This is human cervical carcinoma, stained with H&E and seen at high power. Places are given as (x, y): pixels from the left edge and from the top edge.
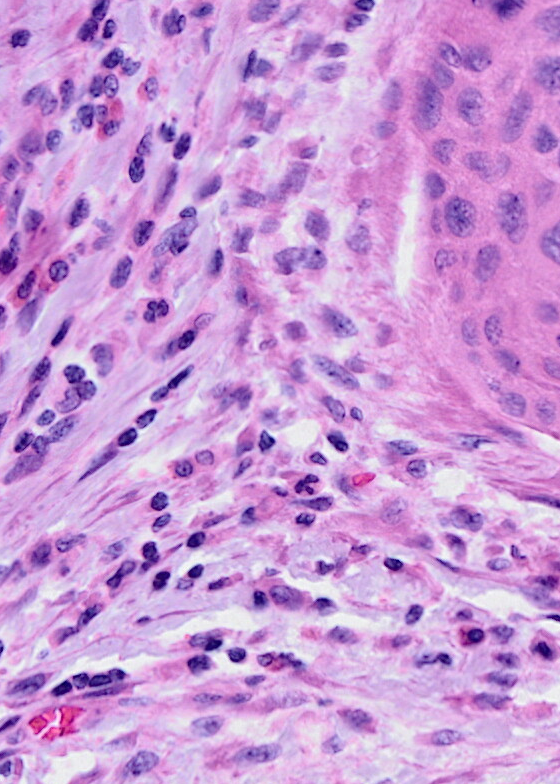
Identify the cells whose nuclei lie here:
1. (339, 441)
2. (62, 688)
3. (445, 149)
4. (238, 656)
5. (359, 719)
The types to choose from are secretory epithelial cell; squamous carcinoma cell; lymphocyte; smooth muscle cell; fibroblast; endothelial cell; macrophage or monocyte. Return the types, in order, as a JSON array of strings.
["lymphocyte", "lymphocyte", "squamous carcinoma cell", "lymphocyte", "fibroblast"]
